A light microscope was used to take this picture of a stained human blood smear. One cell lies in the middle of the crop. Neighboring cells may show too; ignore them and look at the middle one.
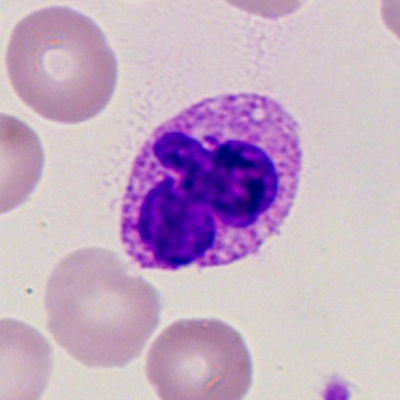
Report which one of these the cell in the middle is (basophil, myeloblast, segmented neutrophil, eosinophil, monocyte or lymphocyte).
basophil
